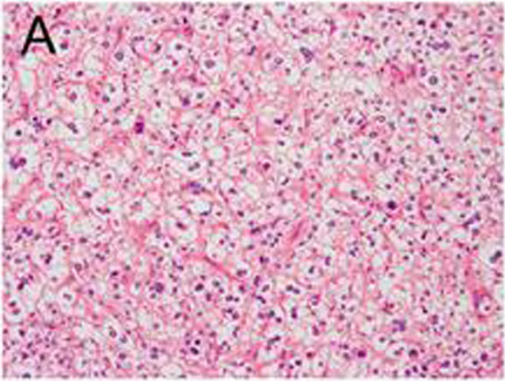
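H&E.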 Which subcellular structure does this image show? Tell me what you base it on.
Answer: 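Clear cytoplasm. Cells have pale, nearly empty-looking cytoplasm. Thin pink cell borders outline each cell.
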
